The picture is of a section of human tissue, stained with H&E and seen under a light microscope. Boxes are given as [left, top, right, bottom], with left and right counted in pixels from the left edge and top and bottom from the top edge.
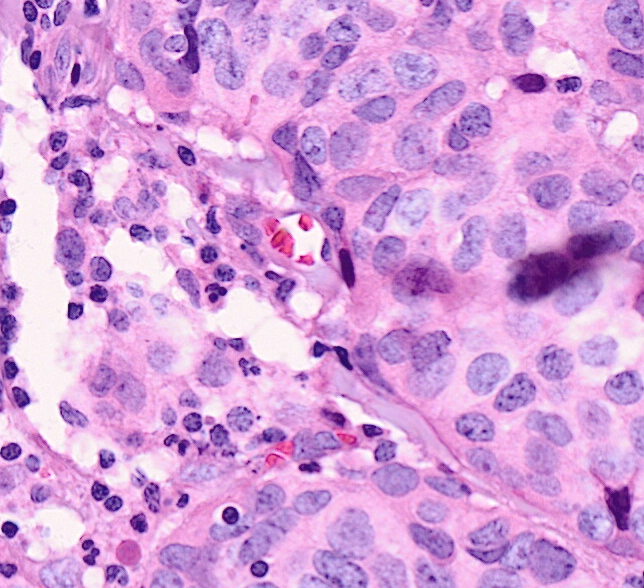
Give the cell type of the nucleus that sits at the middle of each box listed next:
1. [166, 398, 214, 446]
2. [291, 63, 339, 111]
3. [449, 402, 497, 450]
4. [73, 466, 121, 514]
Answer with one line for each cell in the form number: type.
1: lymphocyte
2: carcinoma cell
3: carcinoma cell
4: lymphocyte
